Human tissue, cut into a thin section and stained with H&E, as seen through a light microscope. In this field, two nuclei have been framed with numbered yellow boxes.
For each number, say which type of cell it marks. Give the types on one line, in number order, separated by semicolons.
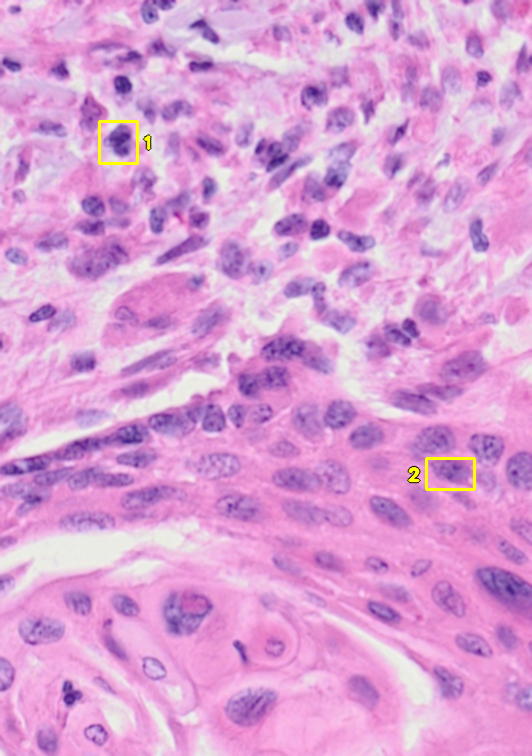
lymphocyte; squamous carcinoma cell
